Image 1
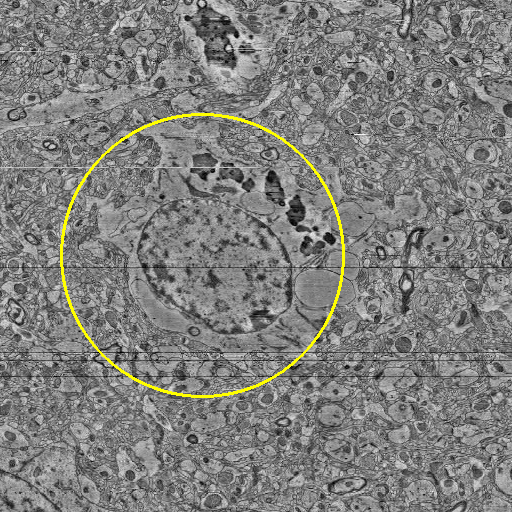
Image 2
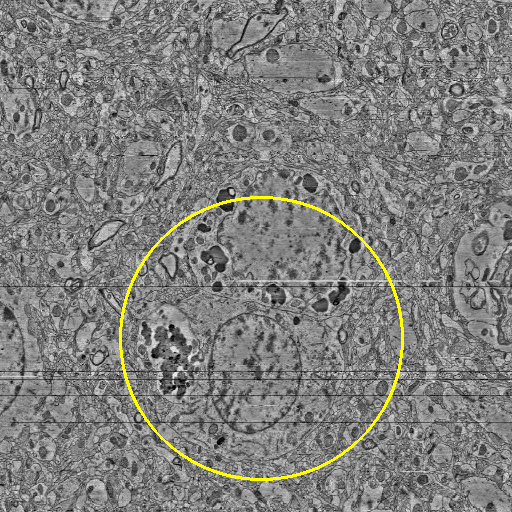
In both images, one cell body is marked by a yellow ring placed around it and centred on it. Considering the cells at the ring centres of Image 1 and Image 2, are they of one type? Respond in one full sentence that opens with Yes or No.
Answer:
No, two types apply to the ring-centred cells of Image 1 and Image 2.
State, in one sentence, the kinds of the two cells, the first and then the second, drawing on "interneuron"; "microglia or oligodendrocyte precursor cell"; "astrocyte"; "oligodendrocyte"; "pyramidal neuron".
The ring in the second picture is centred on a pyramidal neuron, the ring in the first on an astrocyte.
